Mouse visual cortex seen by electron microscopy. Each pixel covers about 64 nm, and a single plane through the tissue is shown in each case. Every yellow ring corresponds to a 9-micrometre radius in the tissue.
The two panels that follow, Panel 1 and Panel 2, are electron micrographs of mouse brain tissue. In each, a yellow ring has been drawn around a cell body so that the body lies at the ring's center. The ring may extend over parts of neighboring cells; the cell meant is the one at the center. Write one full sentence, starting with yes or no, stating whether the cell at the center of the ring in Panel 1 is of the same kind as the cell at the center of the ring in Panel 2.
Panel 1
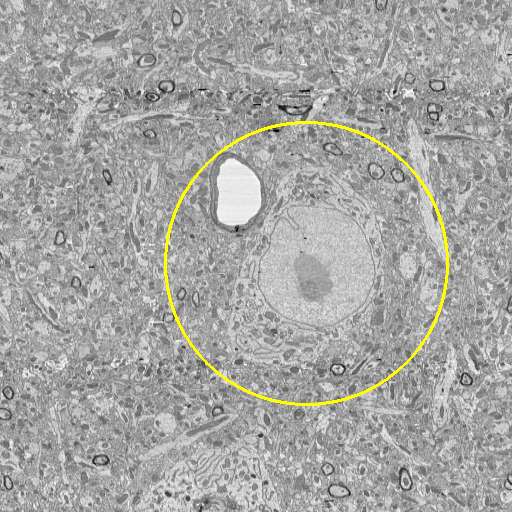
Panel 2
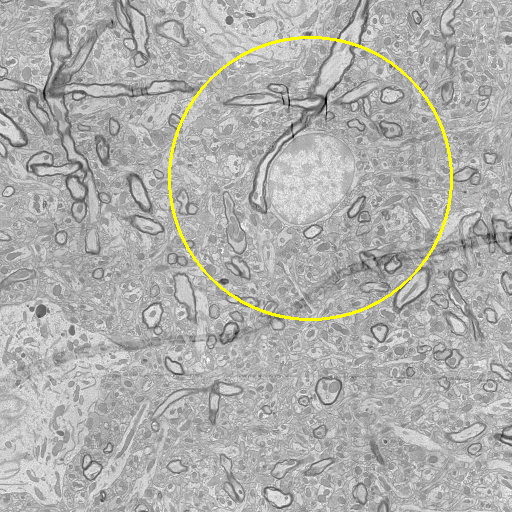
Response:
No, the cells in the two panels are of two kinds.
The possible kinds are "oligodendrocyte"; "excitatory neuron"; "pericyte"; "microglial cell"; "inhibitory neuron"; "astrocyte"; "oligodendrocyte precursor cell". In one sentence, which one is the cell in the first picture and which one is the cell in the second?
The cell ringed in the second picture is an oligodendrocyte, whereas the one ringed in the first is an inhibitory neuron.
